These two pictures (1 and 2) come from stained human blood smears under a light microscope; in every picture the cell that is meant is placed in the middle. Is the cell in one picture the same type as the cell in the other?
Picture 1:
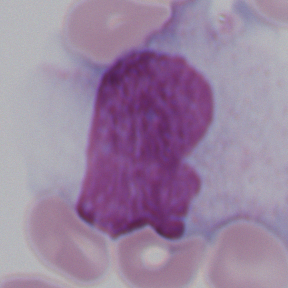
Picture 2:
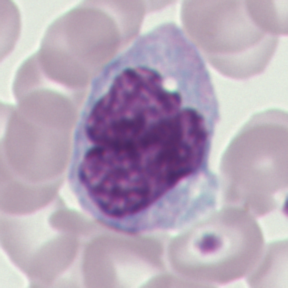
yes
